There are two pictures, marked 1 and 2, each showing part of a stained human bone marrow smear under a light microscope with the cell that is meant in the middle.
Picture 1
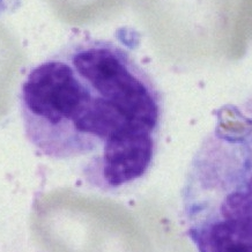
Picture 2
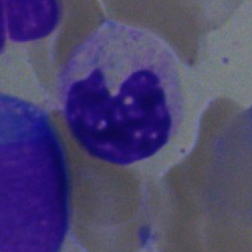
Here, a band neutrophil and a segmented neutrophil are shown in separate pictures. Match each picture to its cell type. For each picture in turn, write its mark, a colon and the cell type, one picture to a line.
1: segmented neutrophil
2: band neutrophil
